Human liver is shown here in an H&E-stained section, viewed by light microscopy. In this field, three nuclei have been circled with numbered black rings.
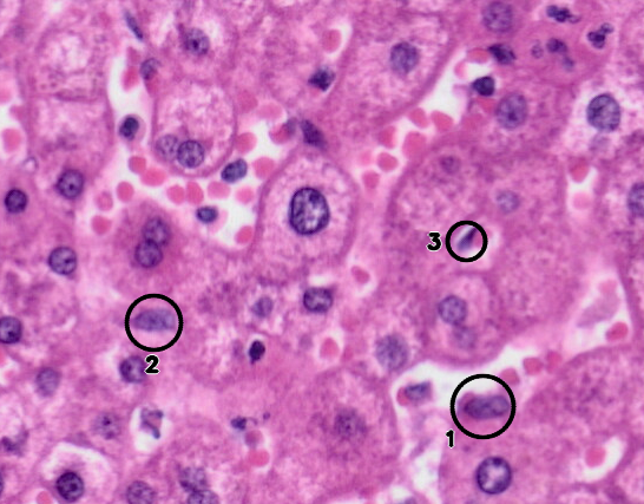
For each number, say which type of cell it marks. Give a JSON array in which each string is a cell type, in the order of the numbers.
["Kupffer cell", "Kupffer cell", "endothelial cell"]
